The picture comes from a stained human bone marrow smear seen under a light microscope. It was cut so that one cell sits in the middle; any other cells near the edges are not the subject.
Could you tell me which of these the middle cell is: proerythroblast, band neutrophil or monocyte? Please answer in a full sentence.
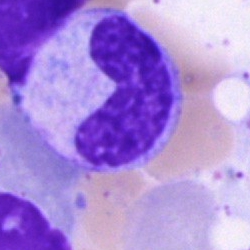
The cell of interest, in the center, is a band neutrophil.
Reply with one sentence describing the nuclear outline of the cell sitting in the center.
The nuclear material is gathered into one compact round, oval or kidney-shaped mass.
